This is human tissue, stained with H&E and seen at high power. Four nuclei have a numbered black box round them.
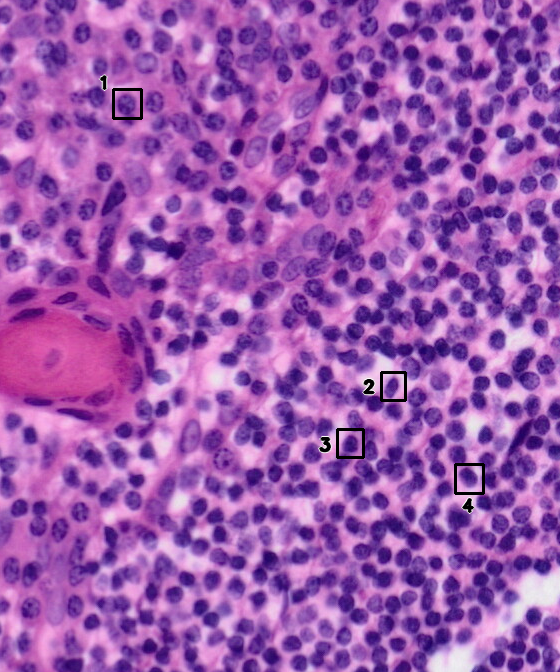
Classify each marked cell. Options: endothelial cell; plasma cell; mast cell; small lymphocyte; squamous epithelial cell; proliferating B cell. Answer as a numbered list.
1. plasma cell
2. small lymphocyte
3. small lymphocyte
4. small lymphocyte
